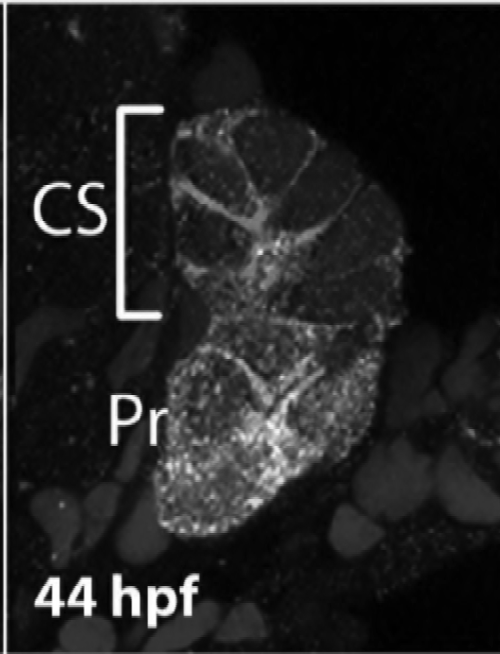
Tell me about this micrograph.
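Transverse section showing a rounded cluster of epithelial cells sitting on top of a tubular epithelium. The upper cluster consists of a few large cells whose outlines are traced by bright membrane signal, with the membranes converging toward a central point. The lower epithelium has speckled bright cytoplasmic signal and a small central lumen bordered by bright membranes. The upper cluster forms a bulge on the upper side of the lower tube and remains joined to it. Oval and elongated nuclei of the surrounding tissue lie scattered around the outside.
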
